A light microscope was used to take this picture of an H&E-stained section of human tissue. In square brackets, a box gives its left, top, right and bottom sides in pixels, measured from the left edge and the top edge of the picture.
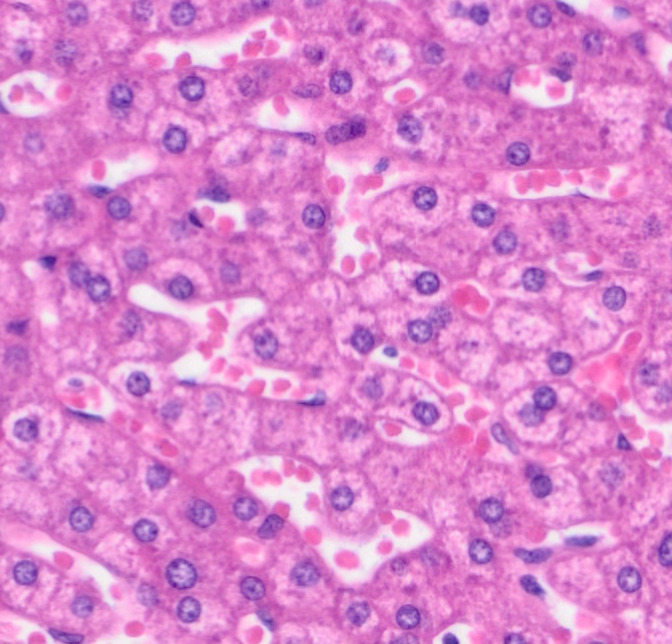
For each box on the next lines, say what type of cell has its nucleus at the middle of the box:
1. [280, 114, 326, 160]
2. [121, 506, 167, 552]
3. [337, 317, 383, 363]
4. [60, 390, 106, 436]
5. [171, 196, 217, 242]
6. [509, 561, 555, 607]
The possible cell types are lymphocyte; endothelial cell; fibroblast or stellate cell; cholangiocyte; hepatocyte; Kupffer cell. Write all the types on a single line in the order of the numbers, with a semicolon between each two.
fibroblast or stellate cell; hepatocyte; hepatocyte; endothelial cell; fibroblast or stellate cell; lymphocyte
